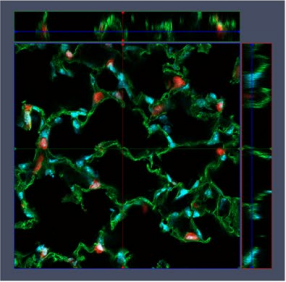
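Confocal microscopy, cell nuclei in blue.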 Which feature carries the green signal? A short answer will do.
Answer: Septa.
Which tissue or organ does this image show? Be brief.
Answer: lung parenchyma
